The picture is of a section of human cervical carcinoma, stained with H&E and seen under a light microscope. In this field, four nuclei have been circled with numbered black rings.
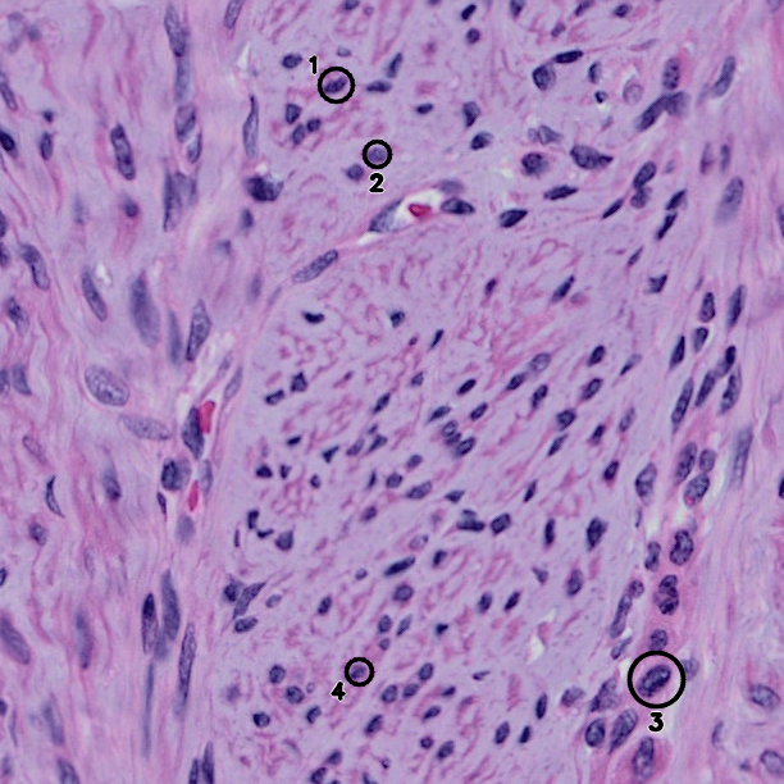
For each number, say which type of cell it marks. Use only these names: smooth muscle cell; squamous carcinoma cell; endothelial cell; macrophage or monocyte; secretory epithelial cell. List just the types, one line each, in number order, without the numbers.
smooth muscle cell
smooth muscle cell
endothelial cell
smooth muscle cell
